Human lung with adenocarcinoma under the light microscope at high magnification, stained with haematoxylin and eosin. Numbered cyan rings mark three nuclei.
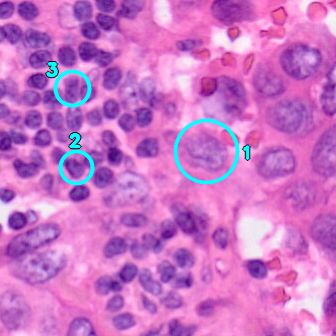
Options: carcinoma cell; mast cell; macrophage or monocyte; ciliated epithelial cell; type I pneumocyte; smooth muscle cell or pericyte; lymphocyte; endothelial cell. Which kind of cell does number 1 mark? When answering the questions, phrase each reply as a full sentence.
The marked cell bearing number 1 is a carcinoma cell.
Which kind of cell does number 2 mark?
At number 2, the marked cell is a lymphocyte.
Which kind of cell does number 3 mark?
Here, the cell given the number 3 is a lymphocyte.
